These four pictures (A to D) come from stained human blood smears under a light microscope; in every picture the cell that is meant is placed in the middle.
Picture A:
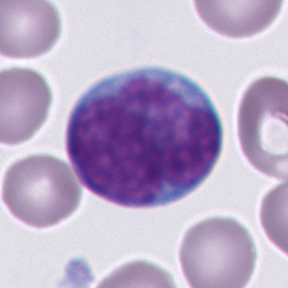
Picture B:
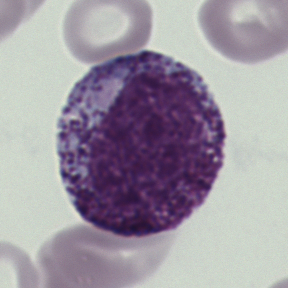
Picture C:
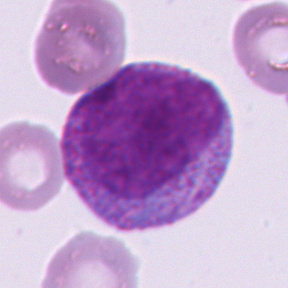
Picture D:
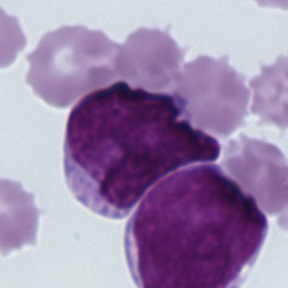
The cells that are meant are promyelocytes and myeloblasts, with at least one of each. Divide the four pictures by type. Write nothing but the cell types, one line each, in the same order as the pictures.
myeloblast
promyelocyte
promyelocyte
myeloblast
